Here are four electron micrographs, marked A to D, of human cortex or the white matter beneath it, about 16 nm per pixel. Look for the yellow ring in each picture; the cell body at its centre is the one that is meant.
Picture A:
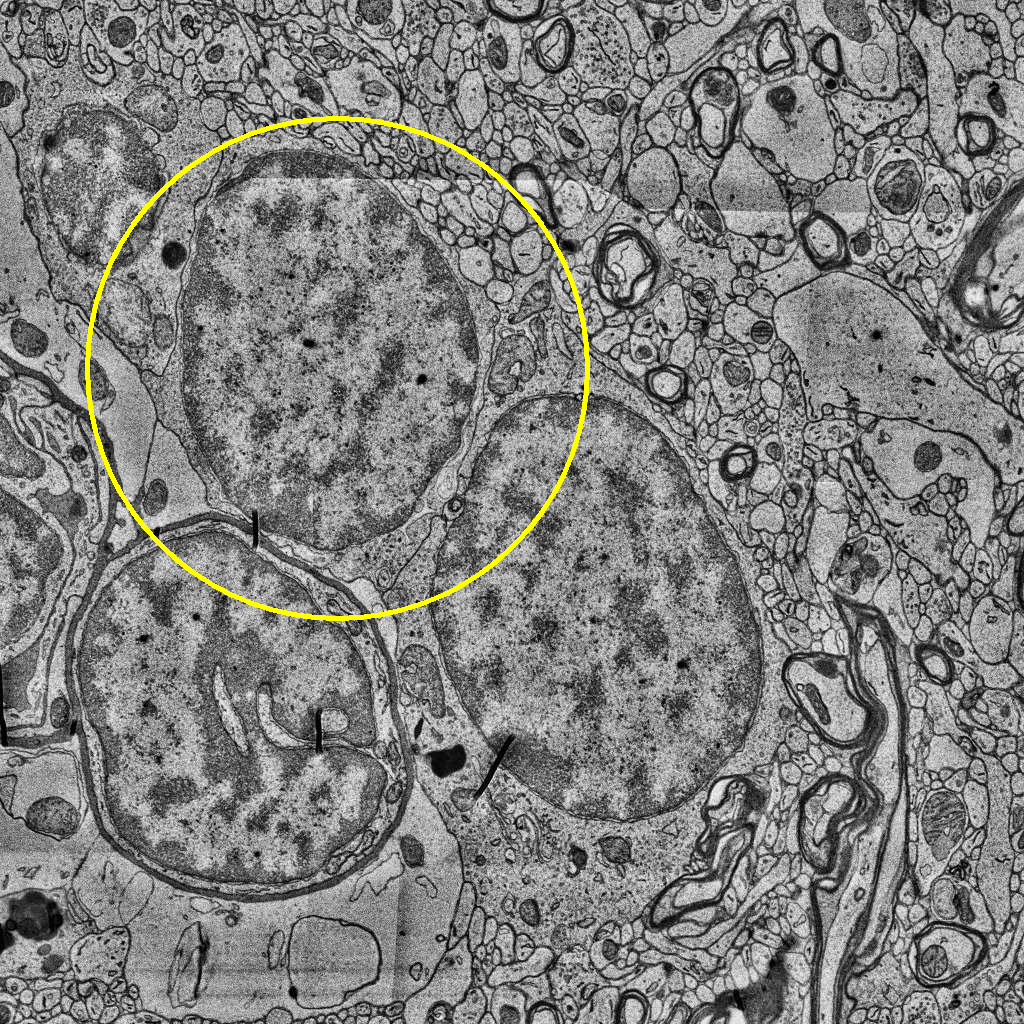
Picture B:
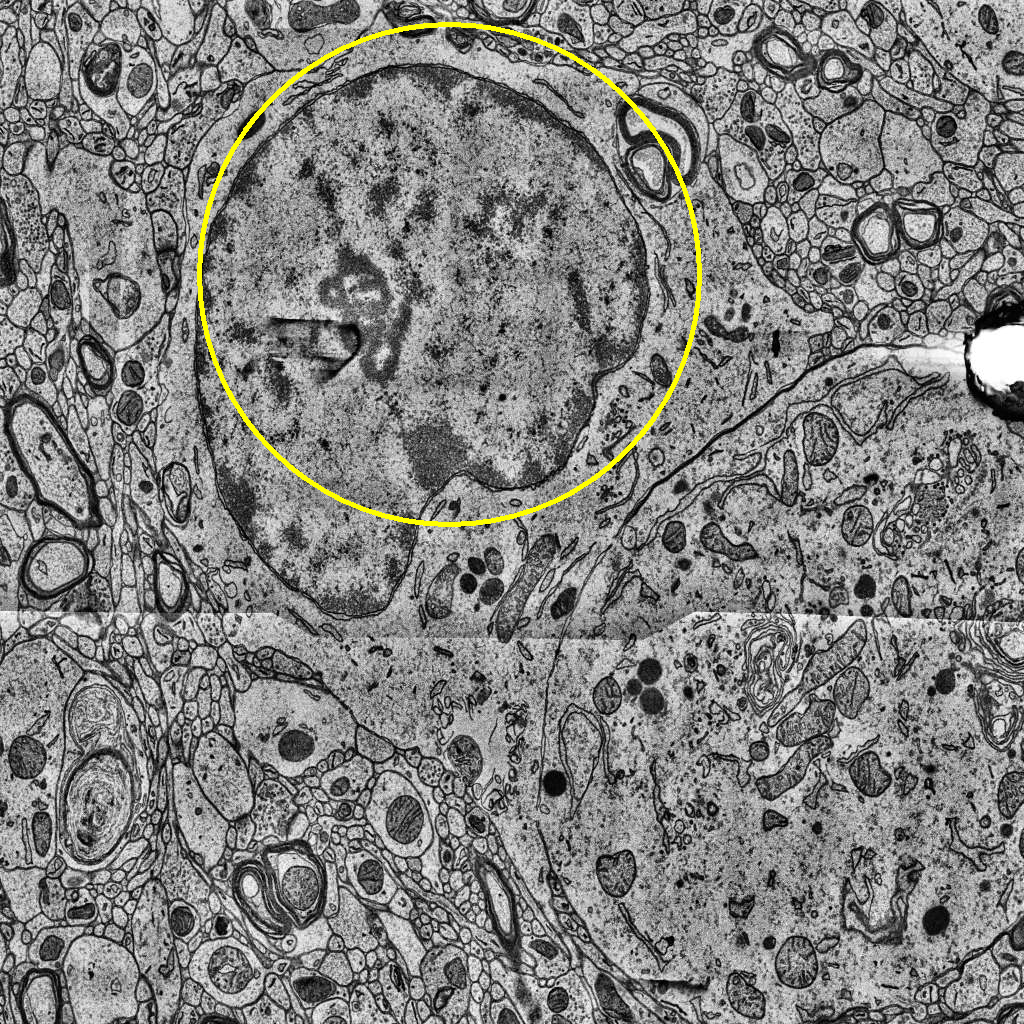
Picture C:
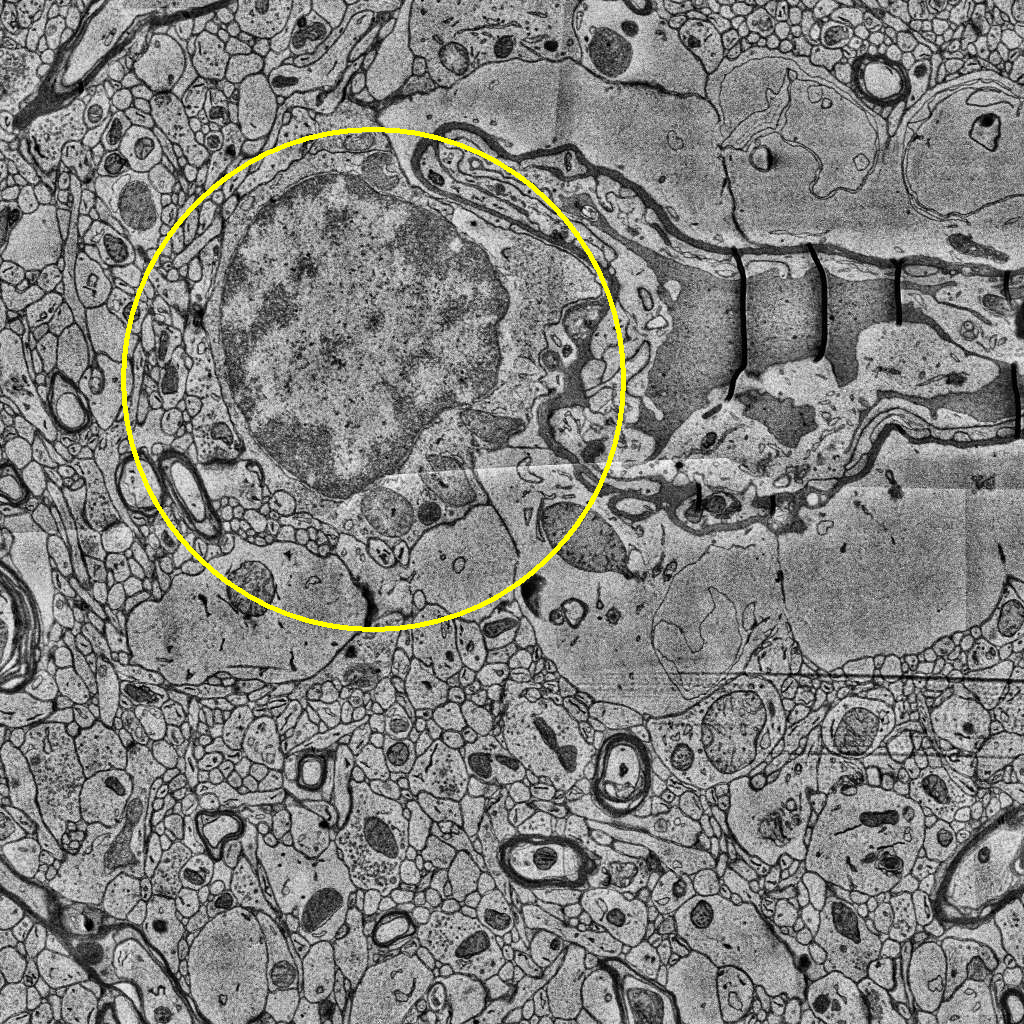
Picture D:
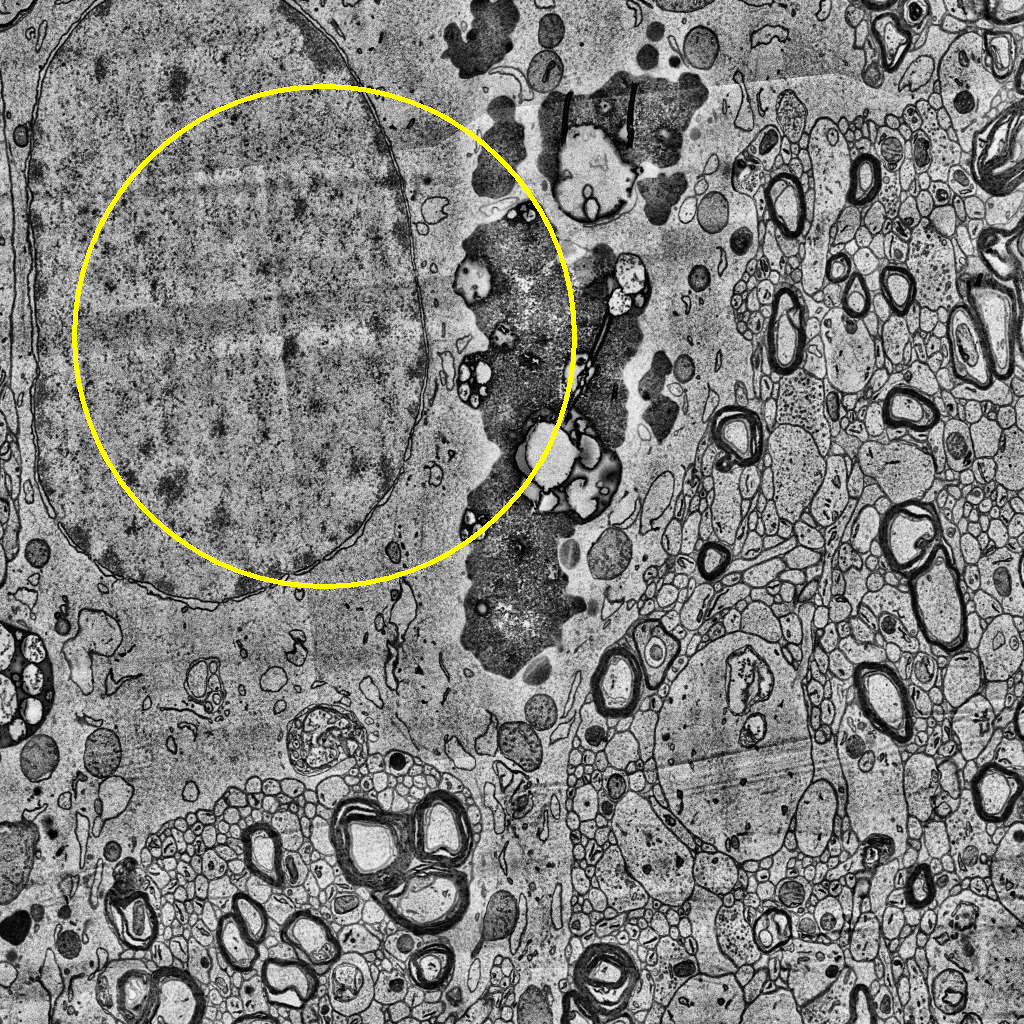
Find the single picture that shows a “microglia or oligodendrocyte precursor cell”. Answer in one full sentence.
The cell in picture B is the “microglia or oligodendrocyte precursor cell”.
